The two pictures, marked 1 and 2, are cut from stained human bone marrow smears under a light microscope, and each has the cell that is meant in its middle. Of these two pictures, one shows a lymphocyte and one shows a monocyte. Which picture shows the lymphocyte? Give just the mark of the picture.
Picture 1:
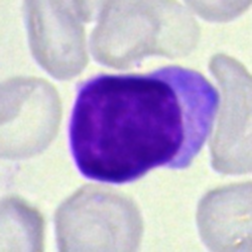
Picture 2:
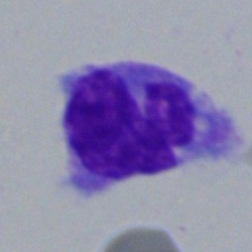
1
